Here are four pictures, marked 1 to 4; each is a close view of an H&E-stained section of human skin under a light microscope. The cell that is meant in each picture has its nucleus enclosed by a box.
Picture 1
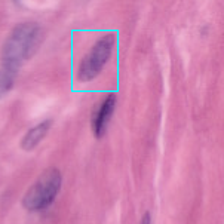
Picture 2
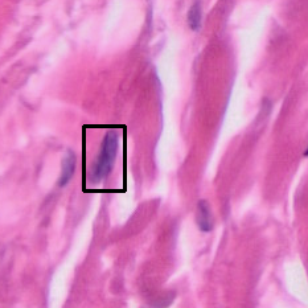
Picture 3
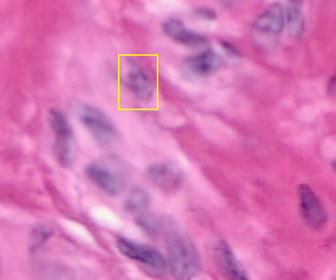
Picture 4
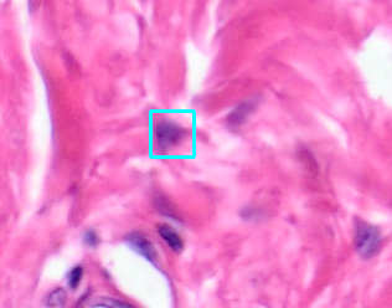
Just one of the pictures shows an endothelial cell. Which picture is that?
3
